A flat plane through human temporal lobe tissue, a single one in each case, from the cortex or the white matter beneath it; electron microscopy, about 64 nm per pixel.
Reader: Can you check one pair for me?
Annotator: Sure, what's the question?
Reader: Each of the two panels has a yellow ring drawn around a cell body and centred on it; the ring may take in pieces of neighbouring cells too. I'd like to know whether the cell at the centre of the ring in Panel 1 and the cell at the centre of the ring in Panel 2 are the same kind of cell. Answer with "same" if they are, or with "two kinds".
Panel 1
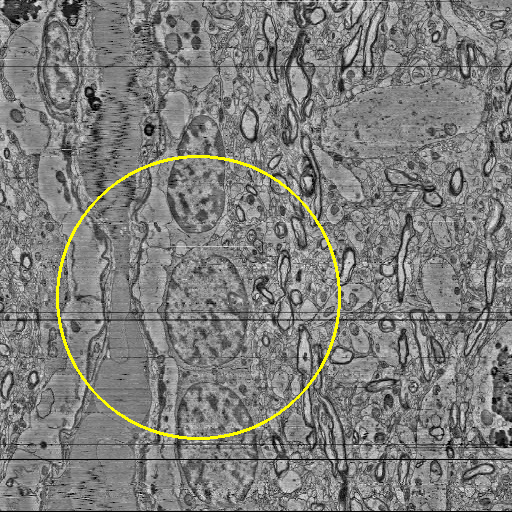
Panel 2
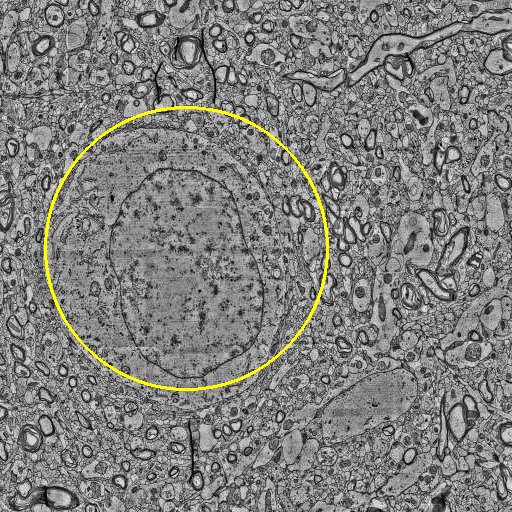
two kinds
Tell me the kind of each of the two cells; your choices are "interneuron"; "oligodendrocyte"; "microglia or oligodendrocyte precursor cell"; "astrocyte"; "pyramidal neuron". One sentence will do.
The ringed cell is an oligodendrocyte in the first picture and a pyramidal neuron in the second picture.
